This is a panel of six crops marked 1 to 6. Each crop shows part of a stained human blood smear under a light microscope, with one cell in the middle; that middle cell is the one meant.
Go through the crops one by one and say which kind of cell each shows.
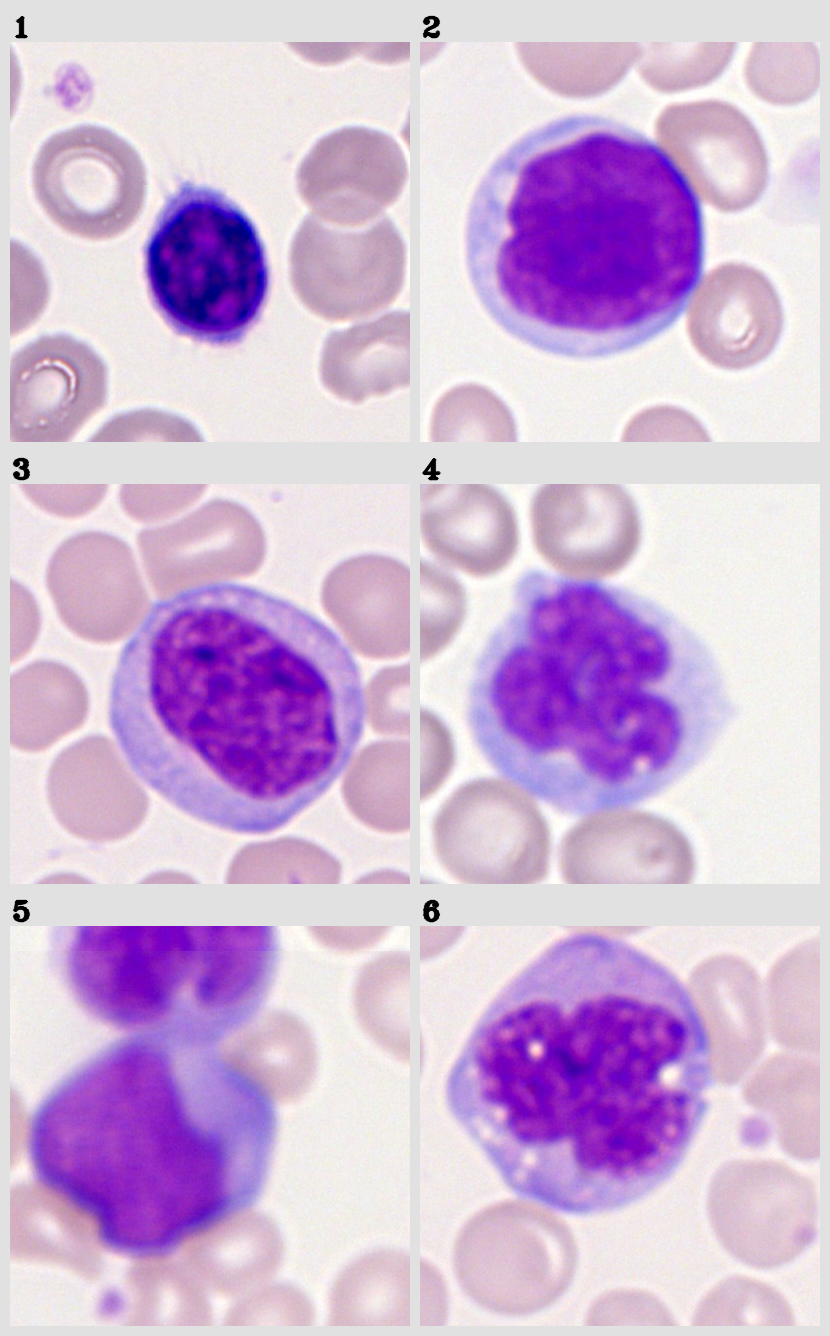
1: lymphocyte
2: myeloblast
3: monocyte
4: monocyte
5: myeloblast
6: monocyte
